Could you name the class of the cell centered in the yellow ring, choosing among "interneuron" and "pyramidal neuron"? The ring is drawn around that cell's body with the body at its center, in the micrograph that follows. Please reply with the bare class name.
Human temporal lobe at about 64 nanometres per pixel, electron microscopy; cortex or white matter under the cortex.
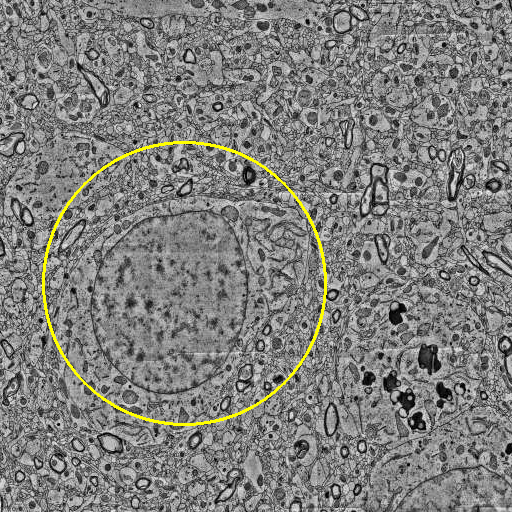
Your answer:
pyramidal neuron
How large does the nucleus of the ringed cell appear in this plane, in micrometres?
Approximately 12 by 10 micrometers in this plane.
